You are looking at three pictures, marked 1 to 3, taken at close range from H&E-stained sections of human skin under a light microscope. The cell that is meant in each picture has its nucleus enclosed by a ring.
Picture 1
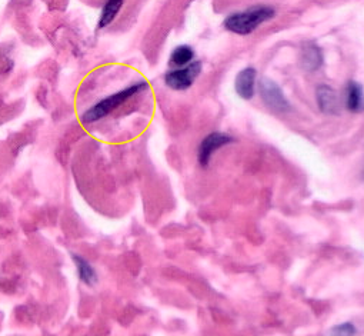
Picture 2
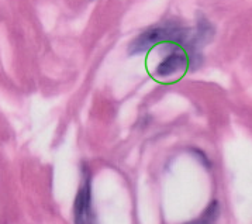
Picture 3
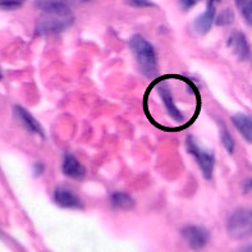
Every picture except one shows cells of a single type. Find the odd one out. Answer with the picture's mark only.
1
